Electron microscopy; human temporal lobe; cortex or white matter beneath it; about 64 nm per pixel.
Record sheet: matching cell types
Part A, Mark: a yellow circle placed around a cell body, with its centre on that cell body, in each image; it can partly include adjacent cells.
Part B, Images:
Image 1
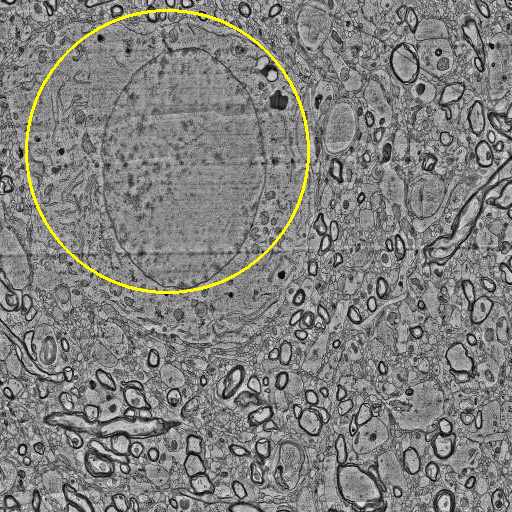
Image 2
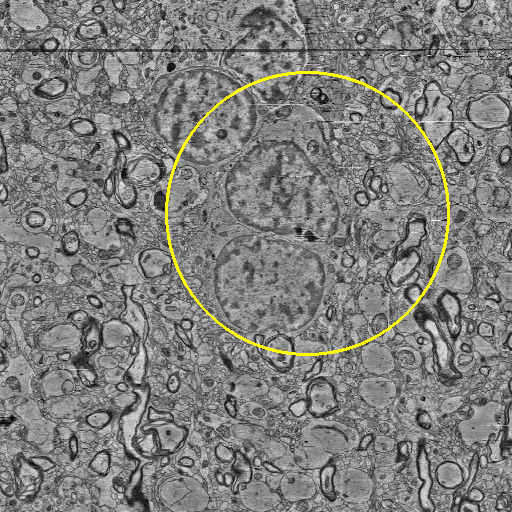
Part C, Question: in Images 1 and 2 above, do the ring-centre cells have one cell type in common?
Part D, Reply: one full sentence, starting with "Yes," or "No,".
No, the ring-centre cells of Image 1 and Image 2 are each of a separate cell type.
